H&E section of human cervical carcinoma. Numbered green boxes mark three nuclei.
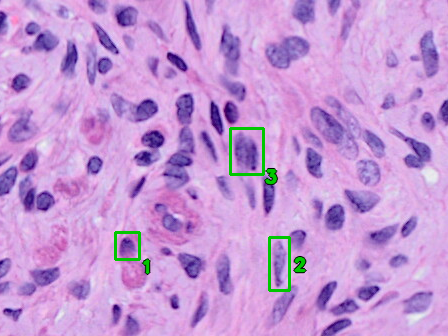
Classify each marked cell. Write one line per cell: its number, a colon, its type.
1: smooth muscle cell
2: fibroblast
3: fibroblast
